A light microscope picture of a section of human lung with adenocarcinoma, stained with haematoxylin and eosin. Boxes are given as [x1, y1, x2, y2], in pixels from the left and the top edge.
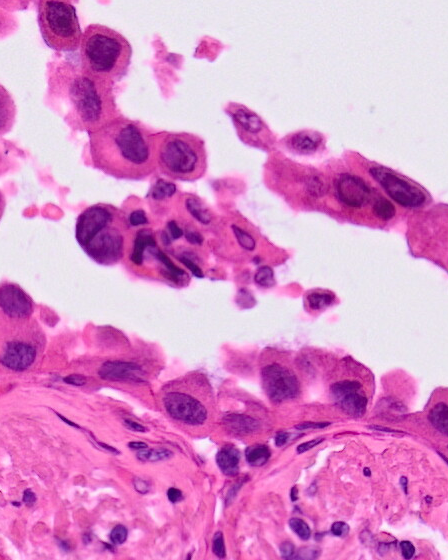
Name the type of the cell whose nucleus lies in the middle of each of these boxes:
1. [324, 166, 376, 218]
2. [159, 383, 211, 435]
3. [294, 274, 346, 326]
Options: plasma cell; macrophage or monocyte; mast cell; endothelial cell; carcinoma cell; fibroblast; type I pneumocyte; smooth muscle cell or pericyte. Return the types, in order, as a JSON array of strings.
["carcinoma cell", "carcinoma cell", "macrophage or monocyte"]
